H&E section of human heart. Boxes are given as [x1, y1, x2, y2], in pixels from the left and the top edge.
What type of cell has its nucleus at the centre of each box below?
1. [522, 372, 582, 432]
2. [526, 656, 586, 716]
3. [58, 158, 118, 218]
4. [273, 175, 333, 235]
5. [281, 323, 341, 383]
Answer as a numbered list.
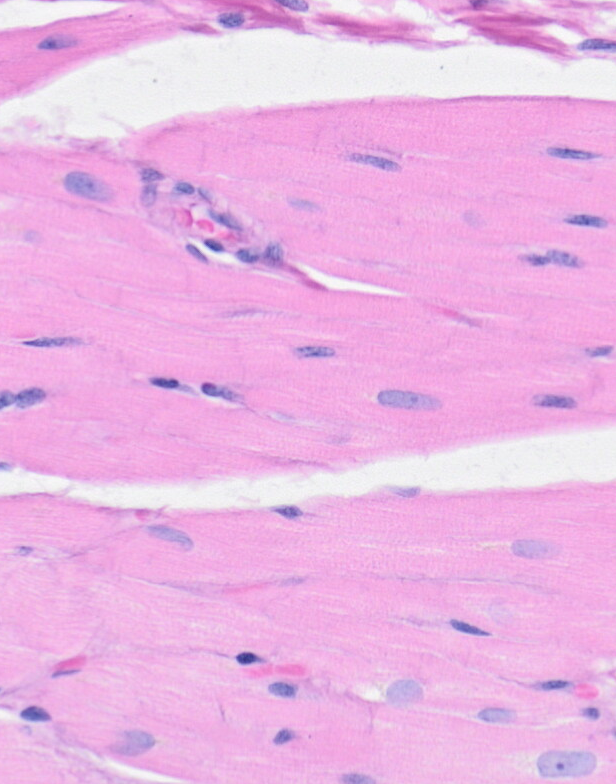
1. endothelial cell
2. endothelial cell
3. cardiomyocyte
4. cardiomyocyte
5. endothelial cell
